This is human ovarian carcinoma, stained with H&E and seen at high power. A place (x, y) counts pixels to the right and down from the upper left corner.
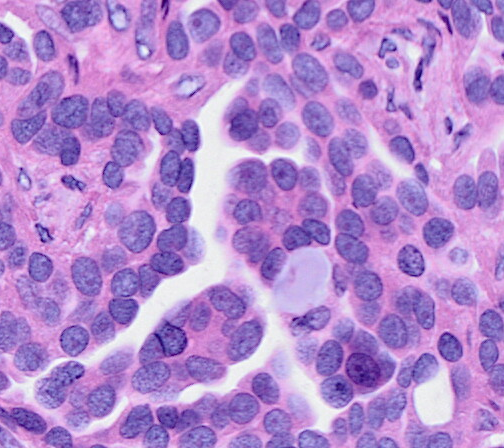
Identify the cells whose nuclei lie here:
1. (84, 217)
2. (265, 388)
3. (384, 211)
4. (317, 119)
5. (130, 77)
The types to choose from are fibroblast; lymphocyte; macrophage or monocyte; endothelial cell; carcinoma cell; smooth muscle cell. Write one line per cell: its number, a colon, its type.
1: fibroblast
2: carcinoma cell
3: carcinoma cell
4: carcinoma cell
5: fibroblast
